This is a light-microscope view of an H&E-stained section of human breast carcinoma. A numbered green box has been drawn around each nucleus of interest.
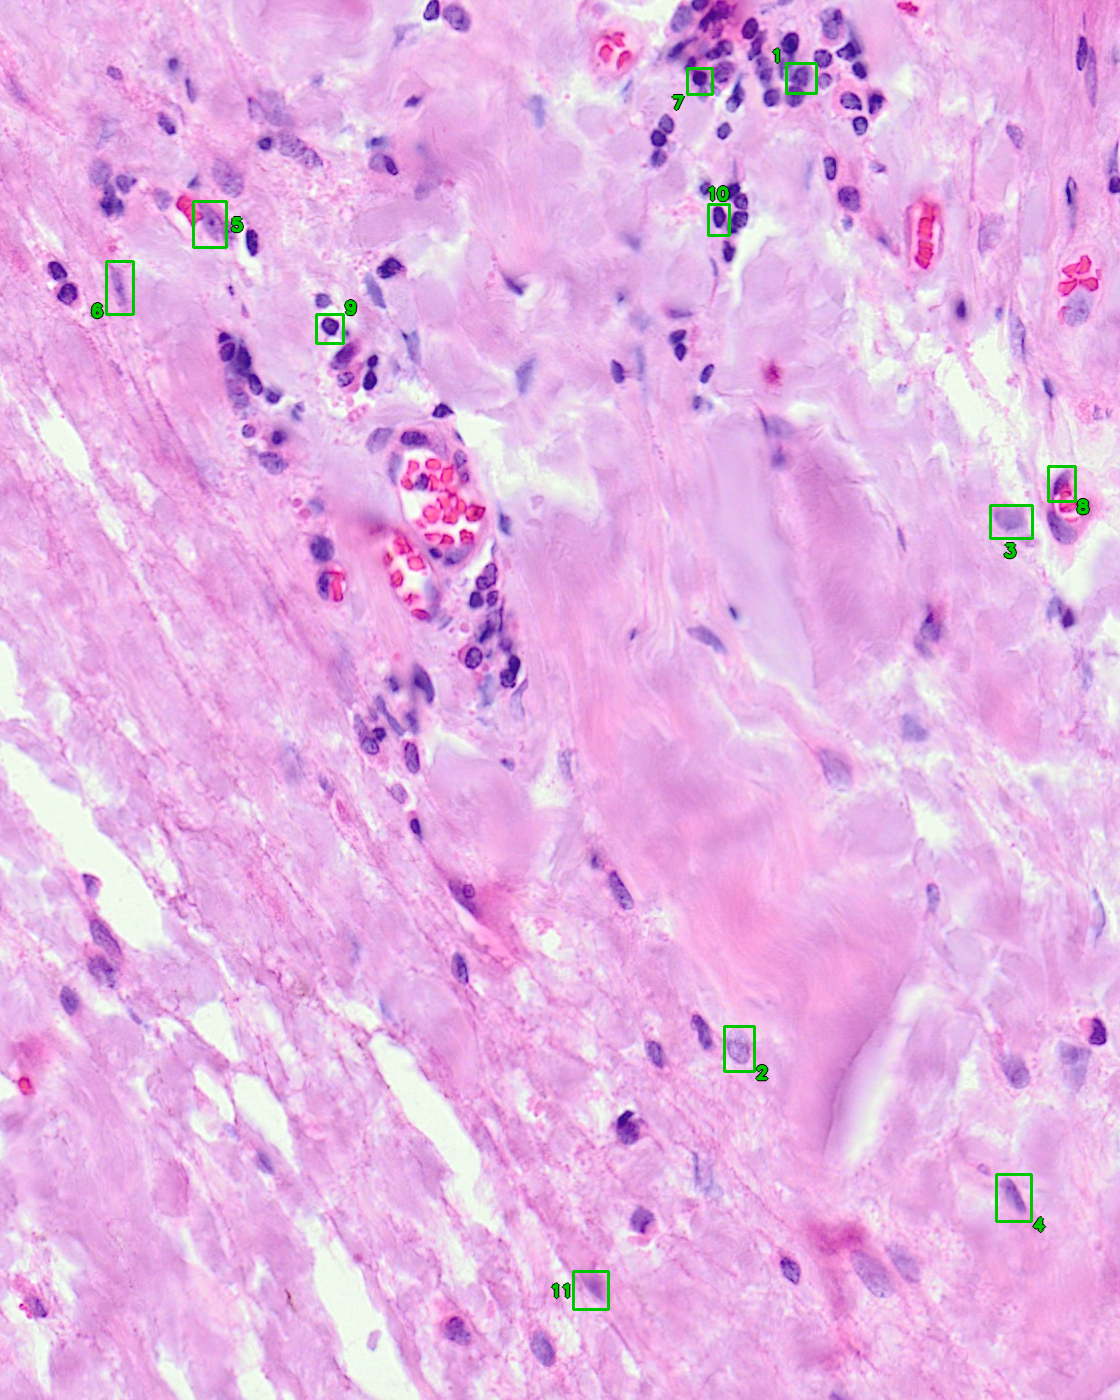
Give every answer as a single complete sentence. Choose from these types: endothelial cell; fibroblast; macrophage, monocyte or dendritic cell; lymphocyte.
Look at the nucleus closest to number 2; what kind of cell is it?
The nearest nucleus to number 2 belongs to a macrophage, monocyte or dendritic cell.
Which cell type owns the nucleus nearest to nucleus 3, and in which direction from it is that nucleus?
Just to the right of nucleus 3 lies the nearest nucleus, which belongs to an endothelial cell.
